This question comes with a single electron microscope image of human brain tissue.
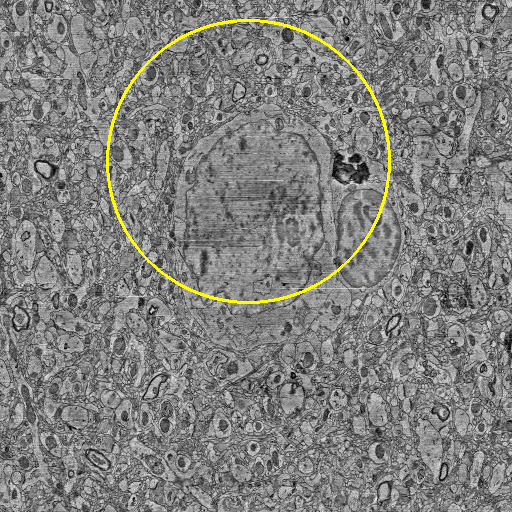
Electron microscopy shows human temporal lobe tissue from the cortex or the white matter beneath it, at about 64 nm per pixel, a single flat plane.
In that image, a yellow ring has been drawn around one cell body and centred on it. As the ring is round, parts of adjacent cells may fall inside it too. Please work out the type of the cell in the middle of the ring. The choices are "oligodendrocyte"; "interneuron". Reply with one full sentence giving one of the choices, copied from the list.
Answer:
Of the choices, an interneuron is the cell sitting in the middle of the ring.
